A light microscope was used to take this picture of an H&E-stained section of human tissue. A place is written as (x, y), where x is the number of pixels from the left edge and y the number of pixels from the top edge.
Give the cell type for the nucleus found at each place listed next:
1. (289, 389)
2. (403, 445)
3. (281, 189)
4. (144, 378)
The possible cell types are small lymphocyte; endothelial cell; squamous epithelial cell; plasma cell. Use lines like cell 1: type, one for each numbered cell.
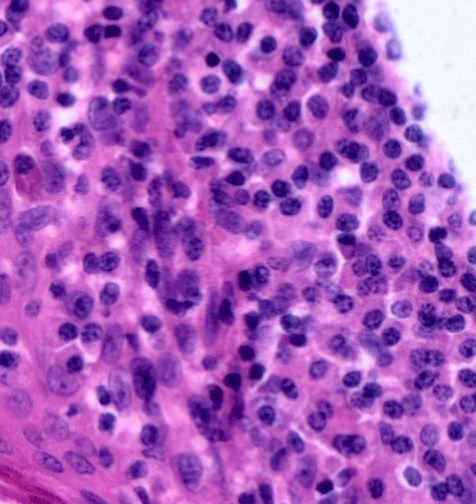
cell 1: plasma cell
cell 2: plasma cell
cell 3: plasma cell
cell 4: squamous epithelial cell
